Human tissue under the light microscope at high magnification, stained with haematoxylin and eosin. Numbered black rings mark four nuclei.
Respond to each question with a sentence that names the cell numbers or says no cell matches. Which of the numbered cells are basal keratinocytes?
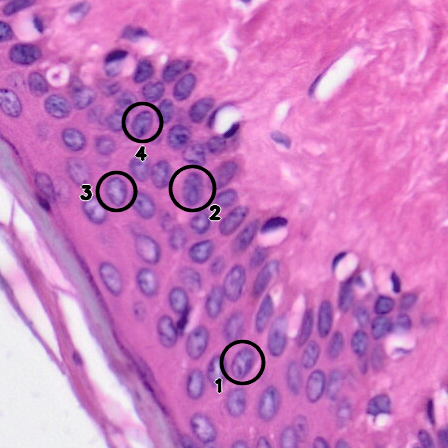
In contrast to the remaining marked cells, cell 2 is a basal keratinocyte.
